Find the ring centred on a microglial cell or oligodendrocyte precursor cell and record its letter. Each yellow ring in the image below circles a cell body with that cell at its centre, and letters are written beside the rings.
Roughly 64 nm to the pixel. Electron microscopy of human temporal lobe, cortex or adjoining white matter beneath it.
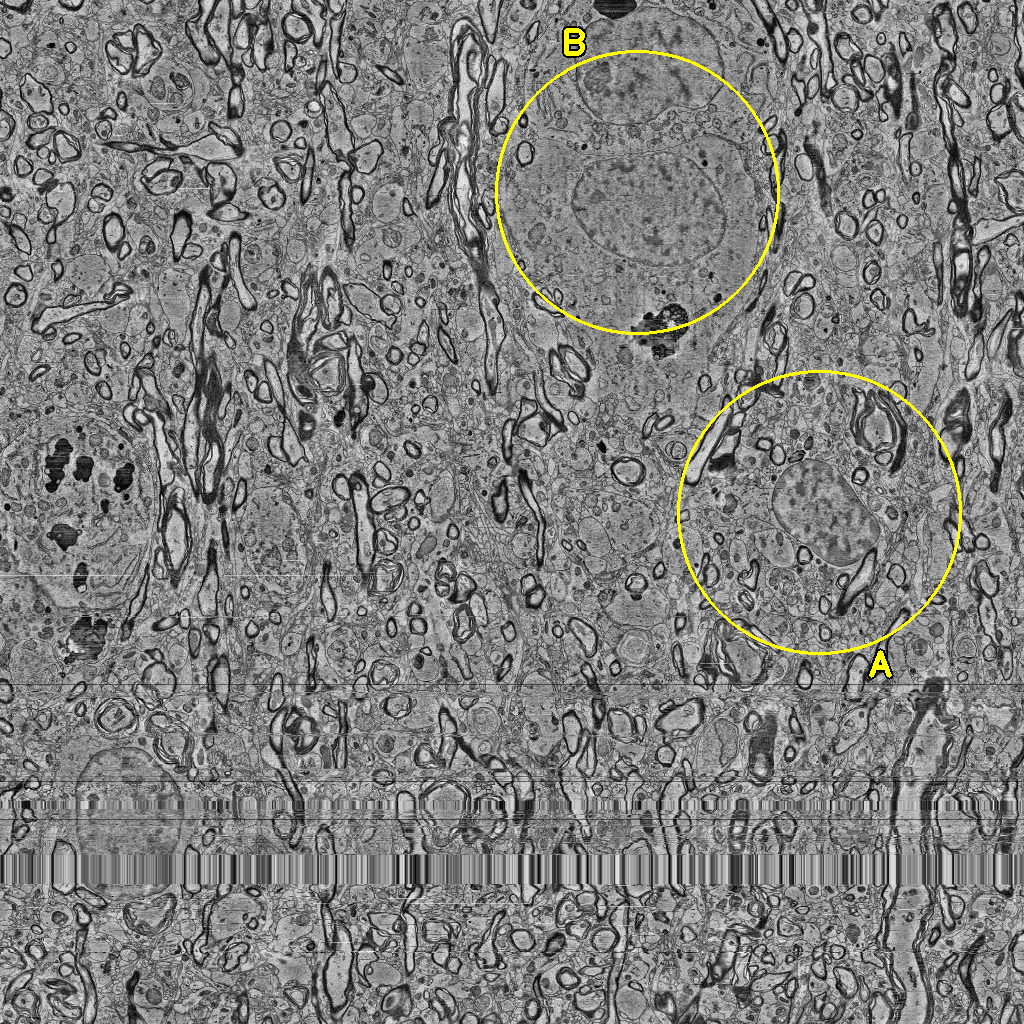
A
